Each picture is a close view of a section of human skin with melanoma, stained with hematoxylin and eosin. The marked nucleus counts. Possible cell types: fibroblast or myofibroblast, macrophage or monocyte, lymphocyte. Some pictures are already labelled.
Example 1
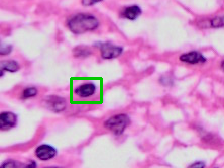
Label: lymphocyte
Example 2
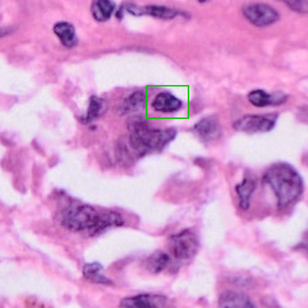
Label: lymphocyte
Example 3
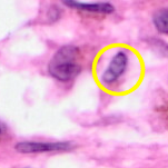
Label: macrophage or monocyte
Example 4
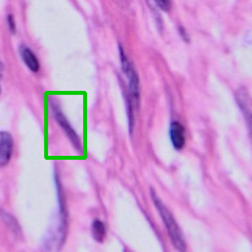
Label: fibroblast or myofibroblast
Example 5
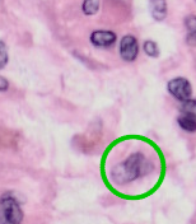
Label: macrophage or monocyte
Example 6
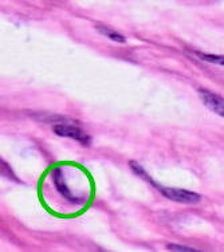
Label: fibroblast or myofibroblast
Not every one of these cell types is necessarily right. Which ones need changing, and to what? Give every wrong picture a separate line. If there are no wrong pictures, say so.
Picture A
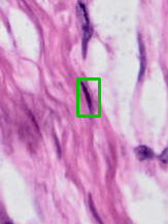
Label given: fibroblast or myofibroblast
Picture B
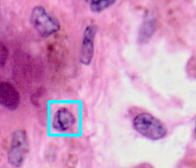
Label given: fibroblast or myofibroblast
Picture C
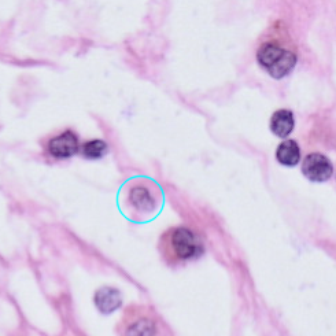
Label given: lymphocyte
B should be lymphocyte, not fibroblast or myofibroblast
C should be macrophage or monocyte, not lymphocyte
